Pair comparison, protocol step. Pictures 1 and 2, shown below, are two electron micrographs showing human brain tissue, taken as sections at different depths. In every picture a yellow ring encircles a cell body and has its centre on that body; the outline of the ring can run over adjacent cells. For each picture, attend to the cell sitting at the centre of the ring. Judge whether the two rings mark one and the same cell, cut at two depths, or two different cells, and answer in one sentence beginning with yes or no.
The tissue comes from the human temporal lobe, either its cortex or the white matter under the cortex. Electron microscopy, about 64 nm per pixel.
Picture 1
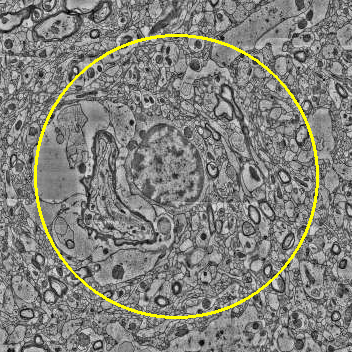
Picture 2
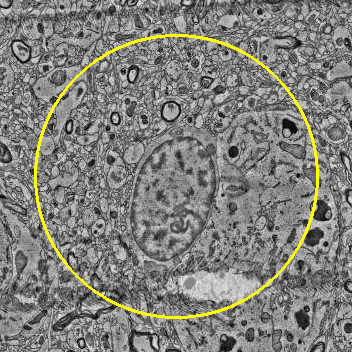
No, these are two different cells, each marked with a ring.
